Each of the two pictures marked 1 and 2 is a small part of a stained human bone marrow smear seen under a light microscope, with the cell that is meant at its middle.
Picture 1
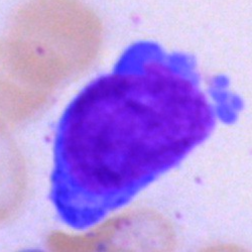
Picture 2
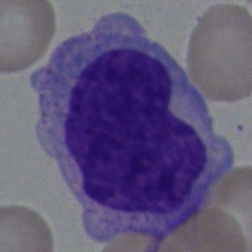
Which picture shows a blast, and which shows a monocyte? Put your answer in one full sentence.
The cell in picture 1 is a blast, and the one in picture 2 is a monocyte.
